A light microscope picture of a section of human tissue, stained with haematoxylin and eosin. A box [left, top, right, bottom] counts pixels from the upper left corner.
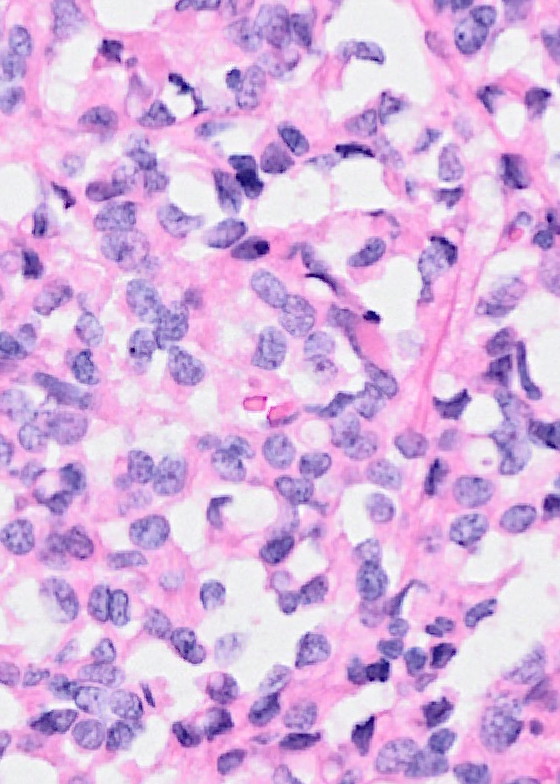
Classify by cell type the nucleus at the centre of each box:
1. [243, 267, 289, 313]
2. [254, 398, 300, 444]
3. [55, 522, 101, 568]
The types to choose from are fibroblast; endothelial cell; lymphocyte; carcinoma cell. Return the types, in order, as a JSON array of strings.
["carcinoma cell", "endothelial cell", "carcinoma cell"]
